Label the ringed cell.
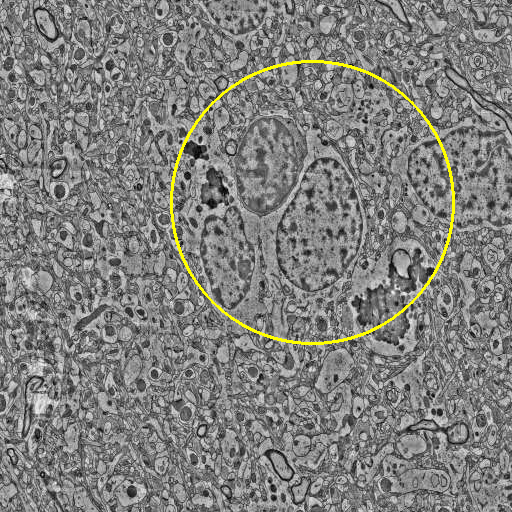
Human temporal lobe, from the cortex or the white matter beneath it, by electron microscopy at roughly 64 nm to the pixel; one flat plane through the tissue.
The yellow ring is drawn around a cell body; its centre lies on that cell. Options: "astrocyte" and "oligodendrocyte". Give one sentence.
The ringed cell is an astrocyte.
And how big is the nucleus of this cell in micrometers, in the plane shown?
The nucleus is approximately 8 micrometres long but only about 5 wide, clearly longer than it is wide in this plane.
